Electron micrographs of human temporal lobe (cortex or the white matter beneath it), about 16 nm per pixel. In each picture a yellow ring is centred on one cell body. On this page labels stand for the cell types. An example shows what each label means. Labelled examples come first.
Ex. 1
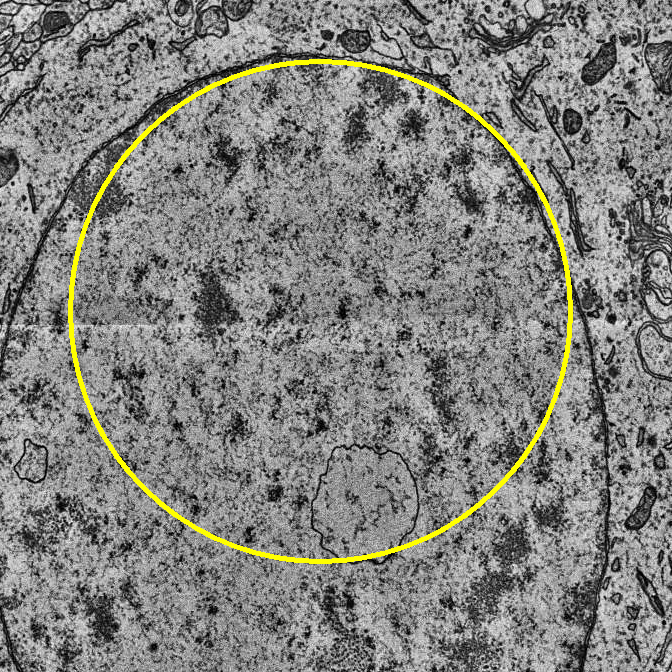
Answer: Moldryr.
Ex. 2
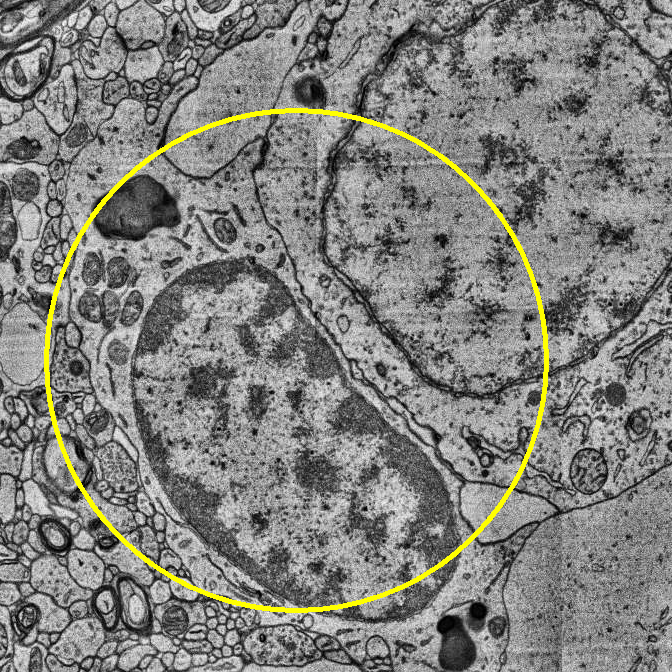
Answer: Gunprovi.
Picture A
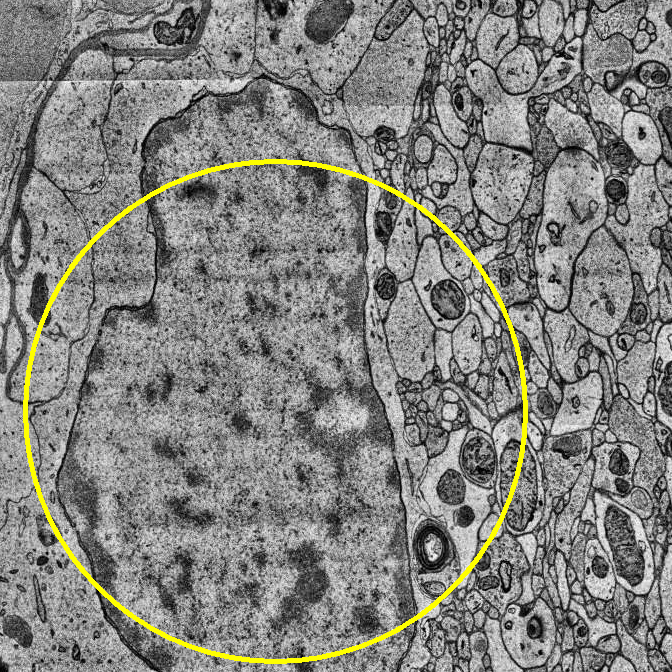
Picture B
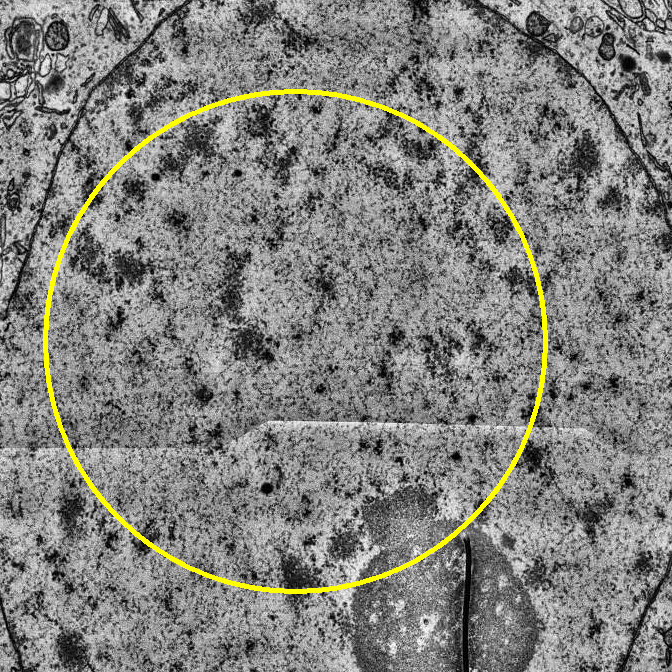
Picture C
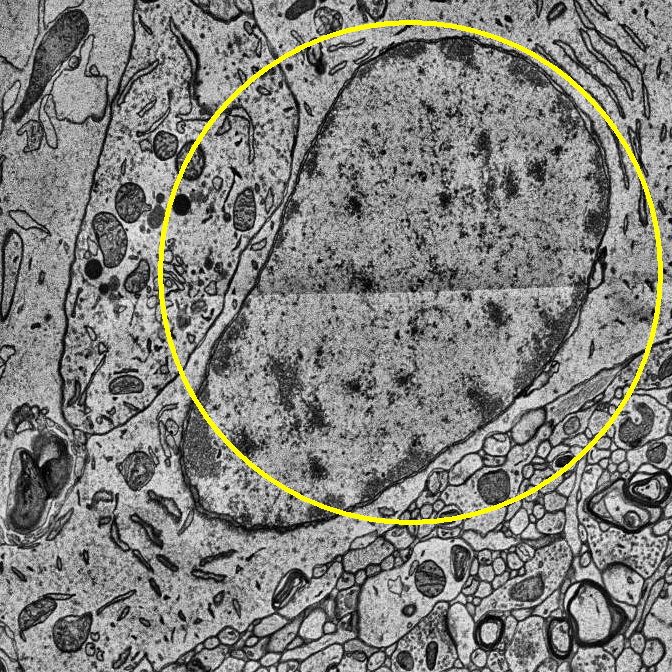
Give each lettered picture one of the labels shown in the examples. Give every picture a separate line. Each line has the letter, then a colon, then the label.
A: Gunprovi.
B: Moldryr.
C: Gunprovi.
